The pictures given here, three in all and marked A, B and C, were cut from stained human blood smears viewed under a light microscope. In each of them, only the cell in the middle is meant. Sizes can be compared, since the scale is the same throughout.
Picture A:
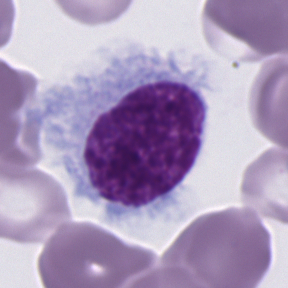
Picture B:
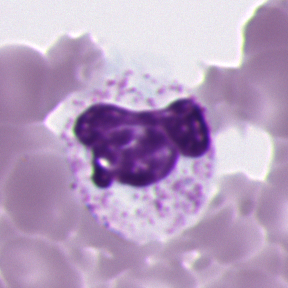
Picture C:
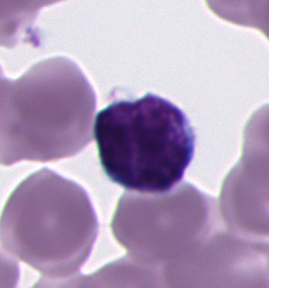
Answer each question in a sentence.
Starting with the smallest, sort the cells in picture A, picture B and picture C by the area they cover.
The order is C, B, A, beginning with the smallest.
